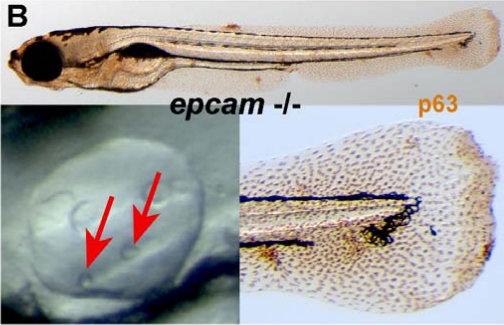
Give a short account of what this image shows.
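Whole larva in lateral view with a magnified tail tip and an inset of the otic vesicle. The tail fin fold is rounded and its brown-stained keratinocyte nuclei are unevenly spaced, crowding into a dense band along the distal fin margin. The otic vesicle contains two small round otoliths marked by red arrows.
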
